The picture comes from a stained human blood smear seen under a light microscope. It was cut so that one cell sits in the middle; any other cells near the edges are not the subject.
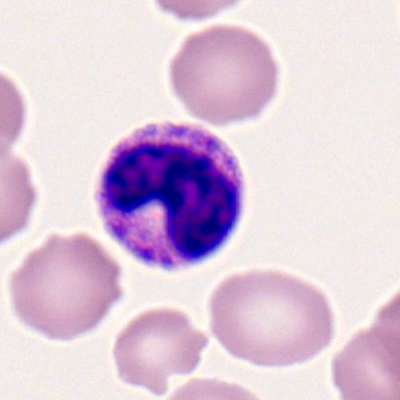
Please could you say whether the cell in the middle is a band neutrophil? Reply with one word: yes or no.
yes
